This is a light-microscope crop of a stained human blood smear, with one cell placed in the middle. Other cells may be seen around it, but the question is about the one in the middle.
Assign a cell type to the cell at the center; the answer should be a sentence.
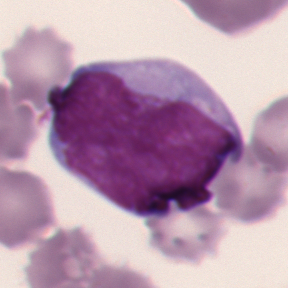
The central cell shown in this smear crop is a myeloblast.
